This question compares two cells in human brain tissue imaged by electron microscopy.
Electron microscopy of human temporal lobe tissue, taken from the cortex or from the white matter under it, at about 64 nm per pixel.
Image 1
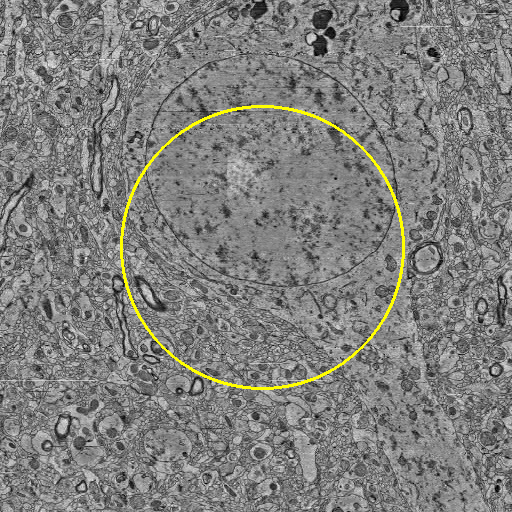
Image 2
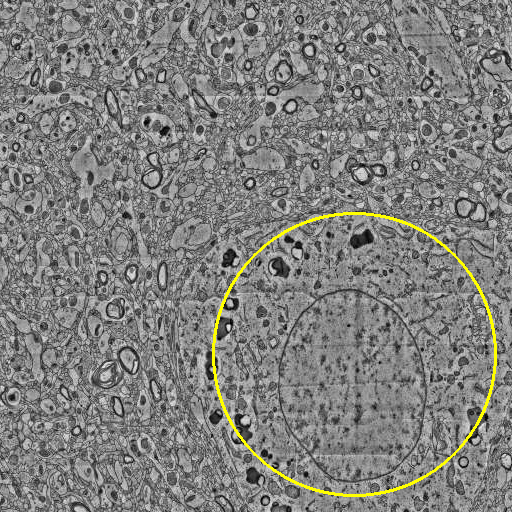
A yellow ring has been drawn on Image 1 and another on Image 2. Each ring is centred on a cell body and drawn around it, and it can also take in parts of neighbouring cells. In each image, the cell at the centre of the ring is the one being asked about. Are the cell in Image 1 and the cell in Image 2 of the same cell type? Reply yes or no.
yes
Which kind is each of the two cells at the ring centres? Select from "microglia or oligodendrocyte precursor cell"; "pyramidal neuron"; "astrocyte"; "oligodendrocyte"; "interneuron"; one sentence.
Each of the two pictures has a pyramidal neuron at the ring centre.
